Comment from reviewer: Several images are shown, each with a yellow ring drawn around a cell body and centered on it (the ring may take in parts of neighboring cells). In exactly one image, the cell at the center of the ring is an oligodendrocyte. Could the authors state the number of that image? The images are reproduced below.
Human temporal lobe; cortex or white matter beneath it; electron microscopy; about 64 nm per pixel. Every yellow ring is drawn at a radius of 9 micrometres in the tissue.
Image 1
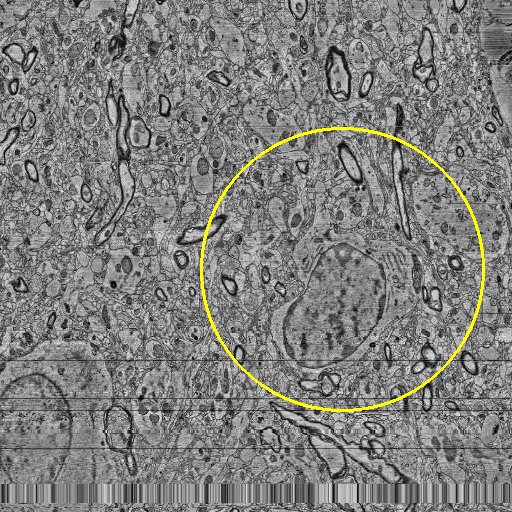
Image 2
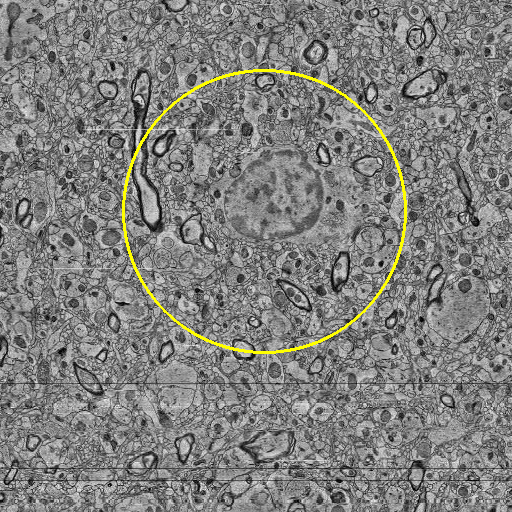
2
